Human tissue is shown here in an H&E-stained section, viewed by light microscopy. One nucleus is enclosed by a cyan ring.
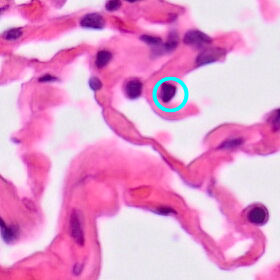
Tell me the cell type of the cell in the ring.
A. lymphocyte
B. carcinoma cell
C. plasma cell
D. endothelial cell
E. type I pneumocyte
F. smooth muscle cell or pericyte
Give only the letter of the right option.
E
